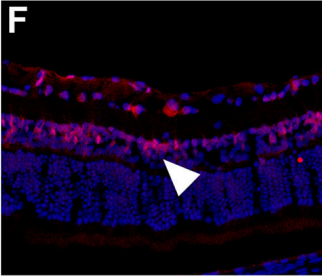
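This cross-section of retina shows its layered arrangement of blue-stained nuclei, with red fluorescence in cells of the inner layers. At the inner surface a sparse row of ganglion cell layer nuclei lies, several of them bright red. Beneath it a dark, nearly nucleus-free plexiform band separates the ganglion cells from the inner nuclear layer, whose nuclei appear pink-red rather than pure blue. A thin dark outer plexiform band then gives way to the much thicker outer nuclear layer of tightly packed blue nuclei, crossed by narrow radial dark gaps. Below the outer nuclear layer lies a faintly red band at the outer edge of the section.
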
